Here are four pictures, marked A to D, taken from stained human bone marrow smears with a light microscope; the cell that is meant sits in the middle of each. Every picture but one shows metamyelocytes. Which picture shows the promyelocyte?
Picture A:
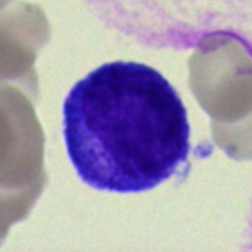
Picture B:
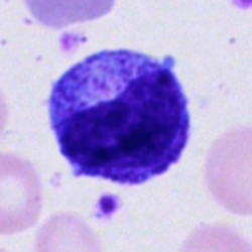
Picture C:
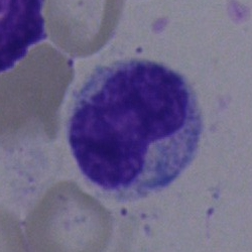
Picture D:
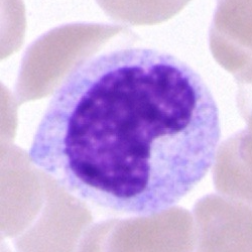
A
